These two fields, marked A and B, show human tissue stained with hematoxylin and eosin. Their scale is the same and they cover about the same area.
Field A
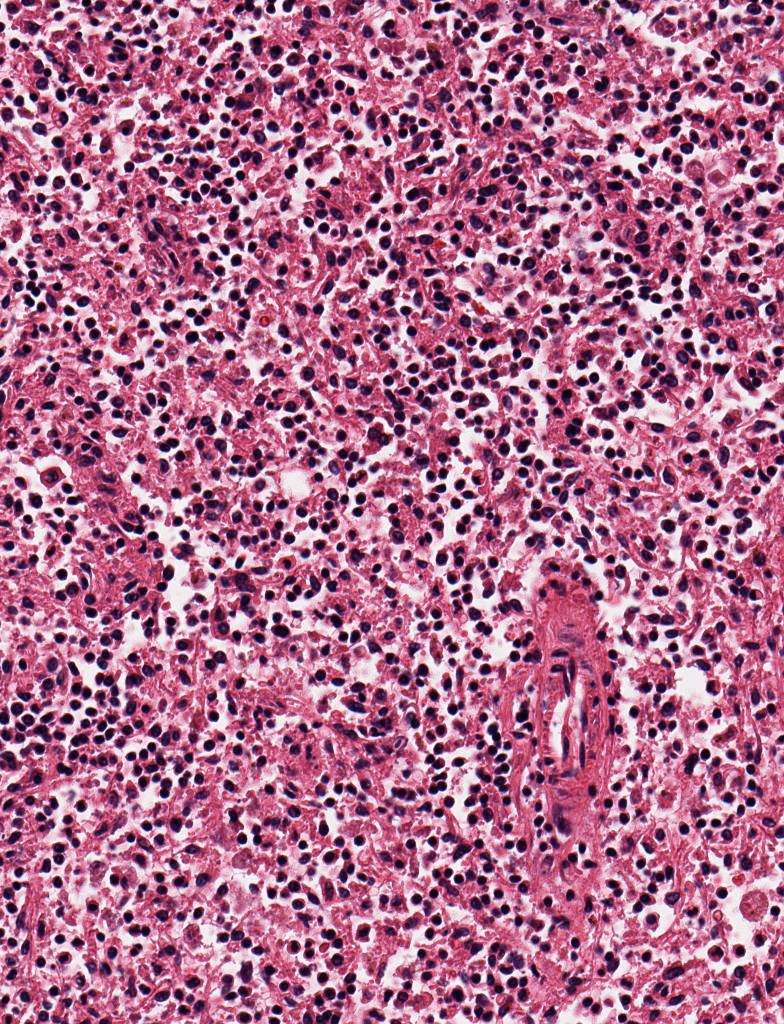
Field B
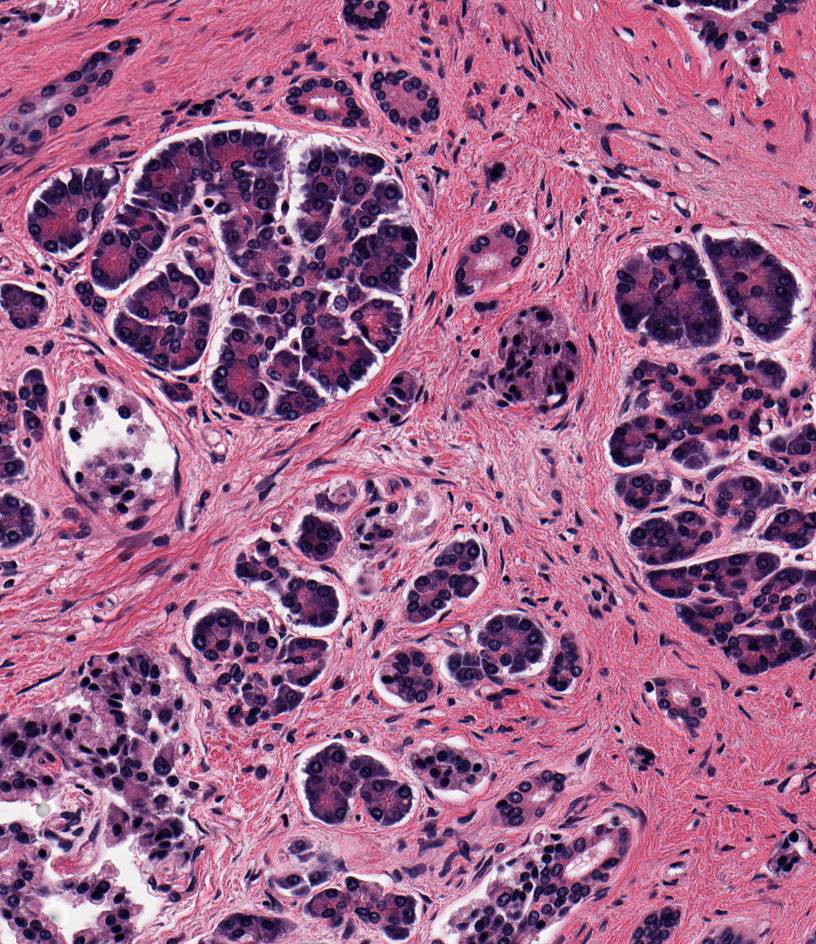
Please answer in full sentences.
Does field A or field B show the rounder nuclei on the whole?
On the whole the nuclei of field A are rounder than those of field B.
